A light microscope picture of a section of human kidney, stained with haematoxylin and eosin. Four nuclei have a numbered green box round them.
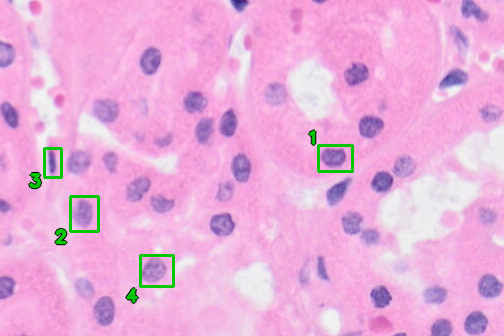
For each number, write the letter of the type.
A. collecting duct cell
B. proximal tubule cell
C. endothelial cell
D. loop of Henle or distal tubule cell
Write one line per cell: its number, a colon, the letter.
1: B
2: B
3: C
4: B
